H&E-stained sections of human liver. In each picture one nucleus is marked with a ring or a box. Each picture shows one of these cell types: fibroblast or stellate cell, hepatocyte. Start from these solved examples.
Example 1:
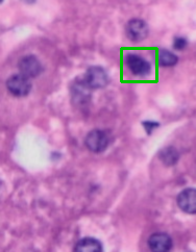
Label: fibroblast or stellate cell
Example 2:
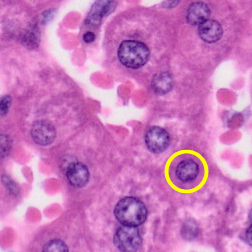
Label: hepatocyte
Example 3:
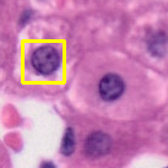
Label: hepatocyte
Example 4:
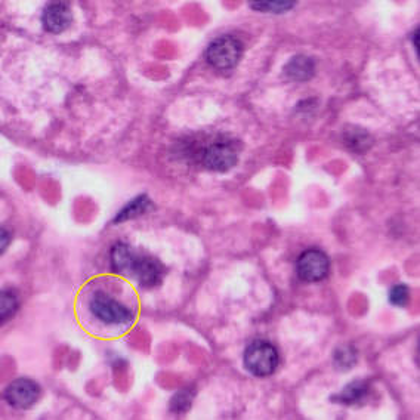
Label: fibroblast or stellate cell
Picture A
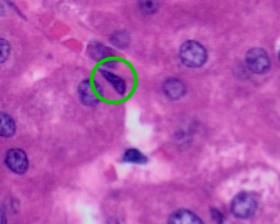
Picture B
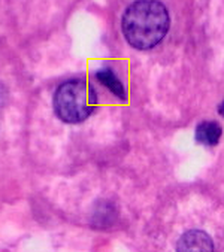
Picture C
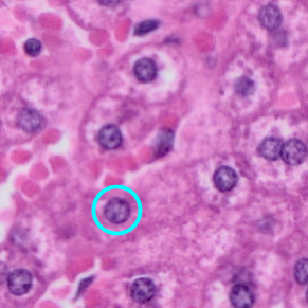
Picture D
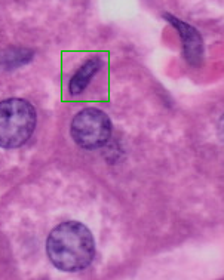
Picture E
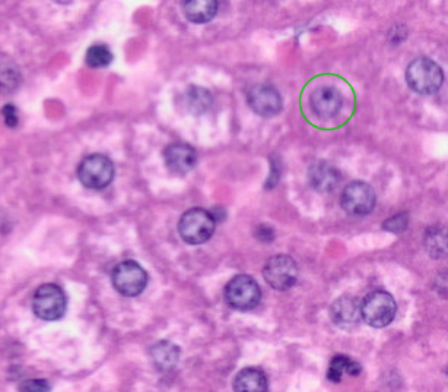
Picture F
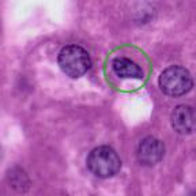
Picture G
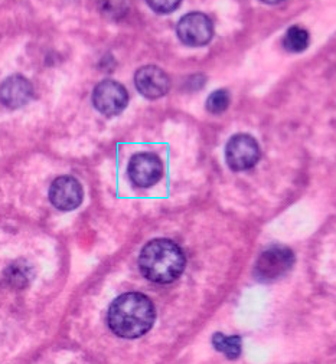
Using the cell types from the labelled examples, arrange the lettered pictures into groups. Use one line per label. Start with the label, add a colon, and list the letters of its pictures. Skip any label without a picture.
fibroblast or stellate cell: A, B, D, F
hepatocyte: C, E, G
